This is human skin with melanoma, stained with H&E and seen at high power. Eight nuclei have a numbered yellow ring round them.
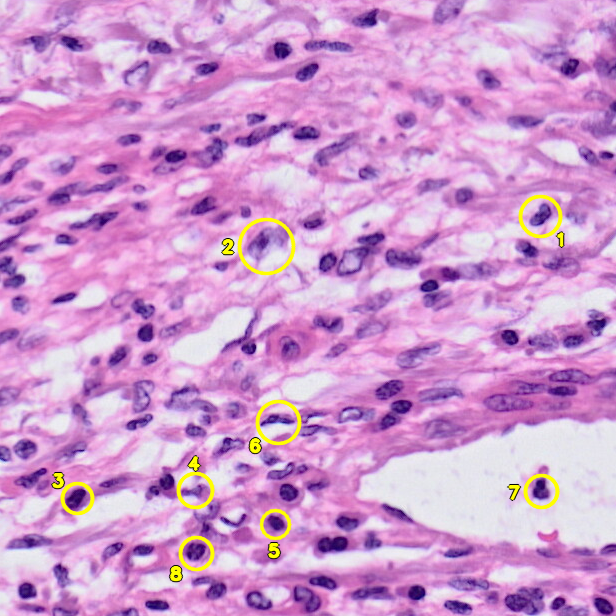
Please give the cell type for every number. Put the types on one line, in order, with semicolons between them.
lymphocyte; fibroblast or myofibroblast; plasma cell; fibroblast or myofibroblast; plasma cell; fibroblast or myofibroblast; lymphocyte; plasma cell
